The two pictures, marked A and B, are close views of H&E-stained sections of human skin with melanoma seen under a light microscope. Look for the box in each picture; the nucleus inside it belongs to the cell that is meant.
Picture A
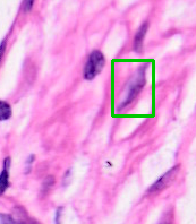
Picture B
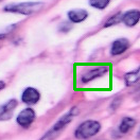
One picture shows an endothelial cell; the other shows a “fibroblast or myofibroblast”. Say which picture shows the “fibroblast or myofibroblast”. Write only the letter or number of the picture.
A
